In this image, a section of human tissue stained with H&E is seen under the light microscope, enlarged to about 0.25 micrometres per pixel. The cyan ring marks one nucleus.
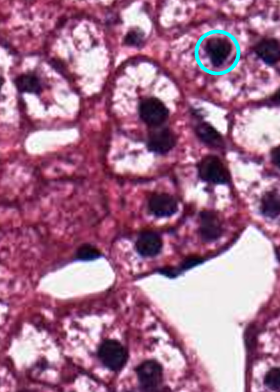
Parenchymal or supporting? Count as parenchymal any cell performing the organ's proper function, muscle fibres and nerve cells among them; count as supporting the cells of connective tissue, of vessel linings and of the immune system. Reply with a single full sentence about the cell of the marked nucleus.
The marked nucleus is carried by a parenchymal cell, namely an adrenal cortical cell.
